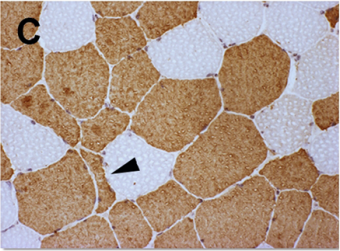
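This is a cross-section of skeletal muscle where the fibers form a mosaic of brown-stained and pale unstained profiles. Brown and pale fibers are intermingled rather than grouped, giving a checkerboard pattern. The fibers differ in size, and some small fibers lie between the larger ones. Thin pale lines of connective tissue outline each fiber, and the pale fibers show a fine dotted texture of cut myofibrils.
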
